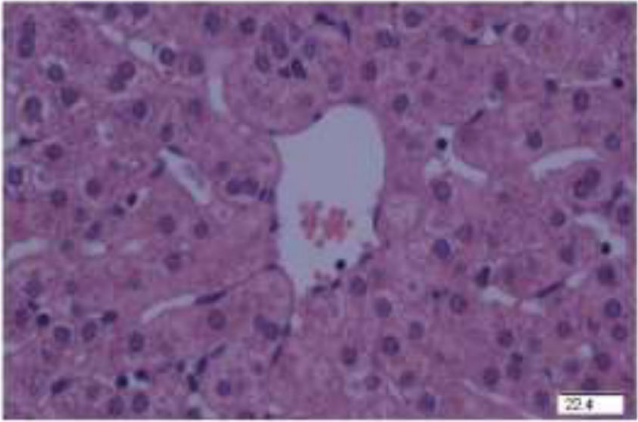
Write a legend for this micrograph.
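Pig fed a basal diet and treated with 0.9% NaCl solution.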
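This is liver, filled with hepatocytes: large polygonal cells with evenly pink cytoplasm and one round, pale-centred nucleus each. They lie in plates that run towards a central vein, whose lumen holds a few red blood cells. Between the plates run narrow clear sinusoids, lined by cells with small, dark, flattened nuclei.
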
